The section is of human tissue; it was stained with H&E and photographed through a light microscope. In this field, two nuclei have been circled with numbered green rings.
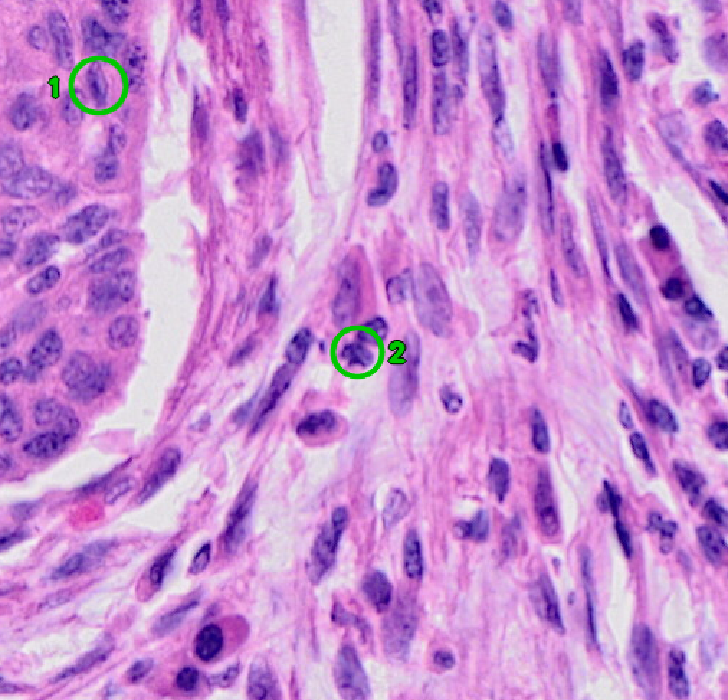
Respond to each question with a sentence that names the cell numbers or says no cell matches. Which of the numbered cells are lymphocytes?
Cell number 2 alone is a lymphocyte; the rest are not.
